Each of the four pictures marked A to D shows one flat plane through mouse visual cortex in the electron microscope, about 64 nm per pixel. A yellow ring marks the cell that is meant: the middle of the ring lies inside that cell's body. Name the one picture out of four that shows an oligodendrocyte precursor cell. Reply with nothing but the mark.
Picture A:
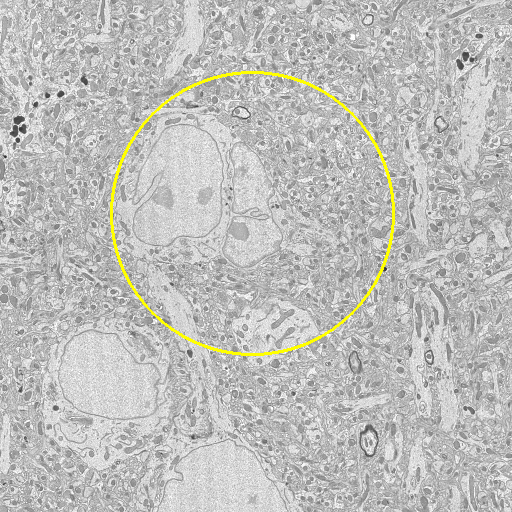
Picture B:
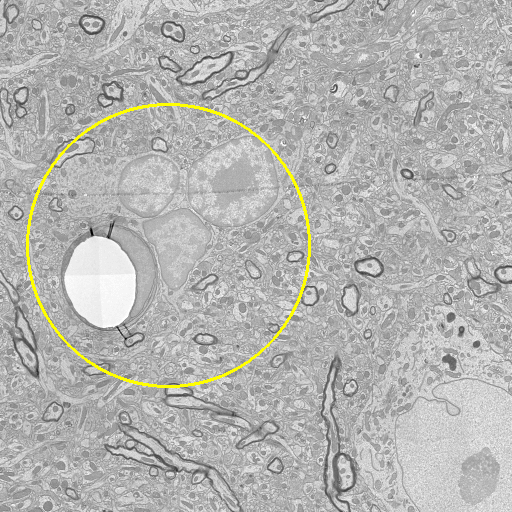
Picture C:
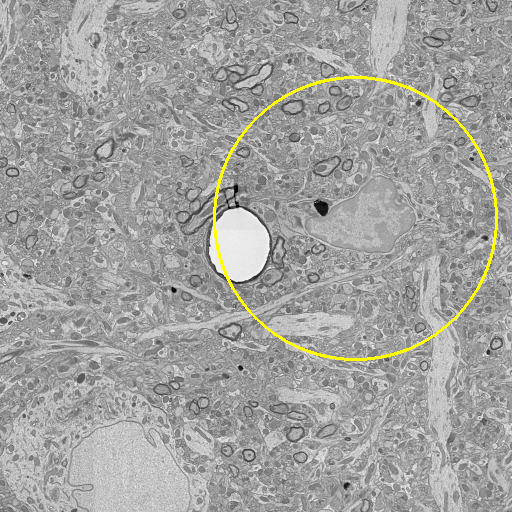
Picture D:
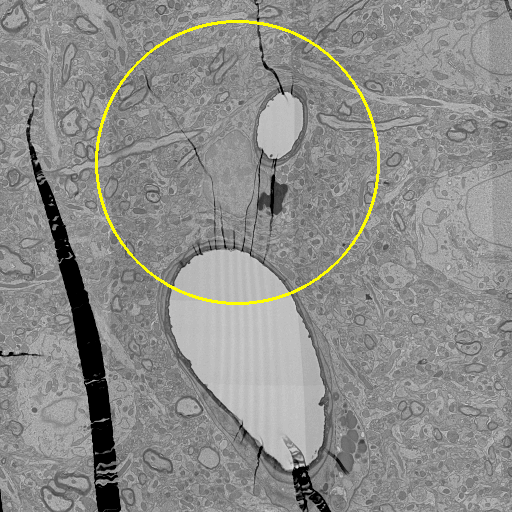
A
